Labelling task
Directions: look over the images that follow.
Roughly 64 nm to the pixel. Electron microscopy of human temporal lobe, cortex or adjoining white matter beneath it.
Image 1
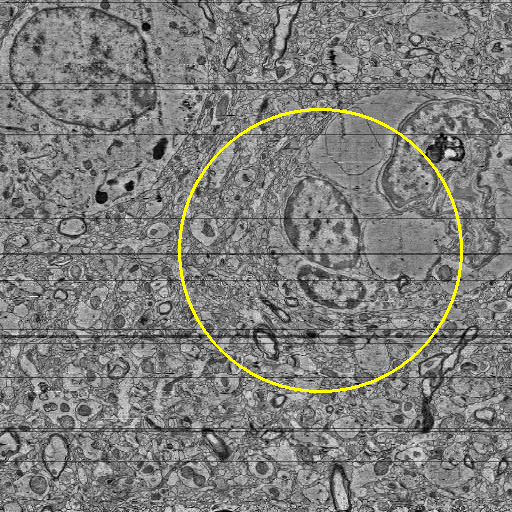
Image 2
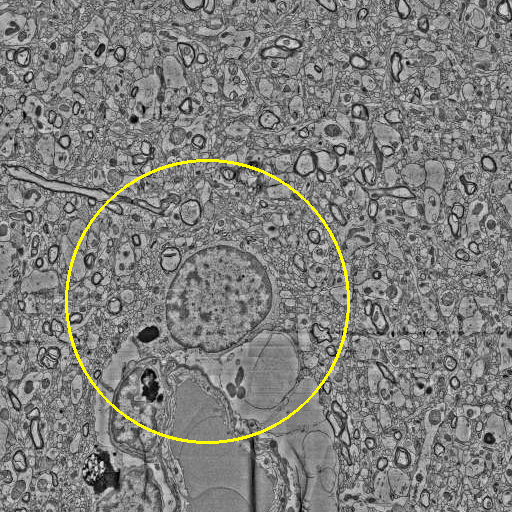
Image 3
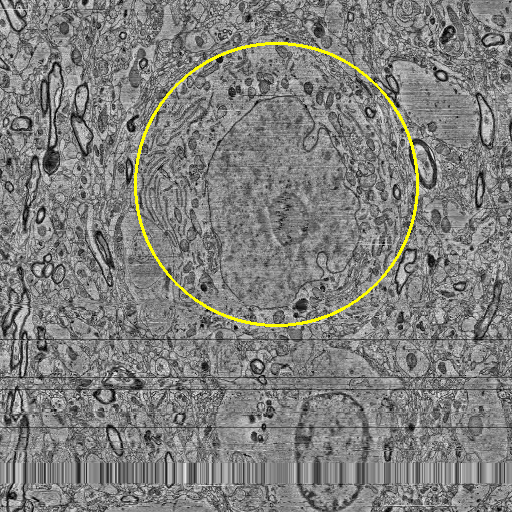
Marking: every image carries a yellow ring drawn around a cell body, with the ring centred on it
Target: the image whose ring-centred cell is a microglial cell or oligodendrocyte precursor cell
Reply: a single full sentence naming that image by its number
The requested cell sits at the ring's centre in Image 1.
